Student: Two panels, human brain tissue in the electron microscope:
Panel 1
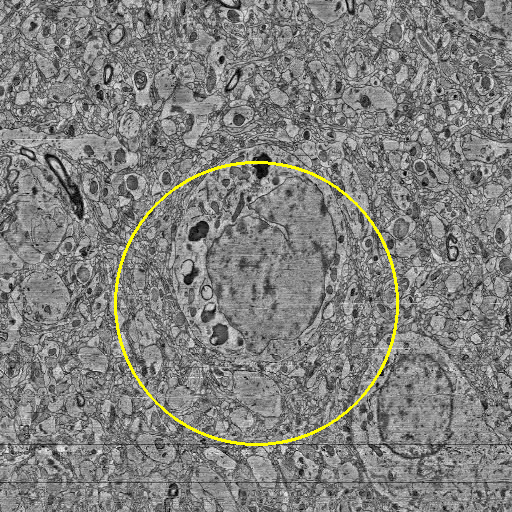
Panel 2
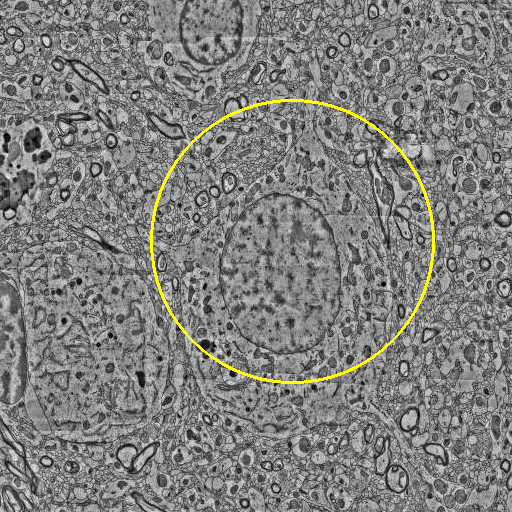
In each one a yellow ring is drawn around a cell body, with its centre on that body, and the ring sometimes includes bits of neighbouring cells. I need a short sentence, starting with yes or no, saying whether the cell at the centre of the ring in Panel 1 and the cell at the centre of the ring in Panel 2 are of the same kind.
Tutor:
Yes, they are the same kind of cell.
